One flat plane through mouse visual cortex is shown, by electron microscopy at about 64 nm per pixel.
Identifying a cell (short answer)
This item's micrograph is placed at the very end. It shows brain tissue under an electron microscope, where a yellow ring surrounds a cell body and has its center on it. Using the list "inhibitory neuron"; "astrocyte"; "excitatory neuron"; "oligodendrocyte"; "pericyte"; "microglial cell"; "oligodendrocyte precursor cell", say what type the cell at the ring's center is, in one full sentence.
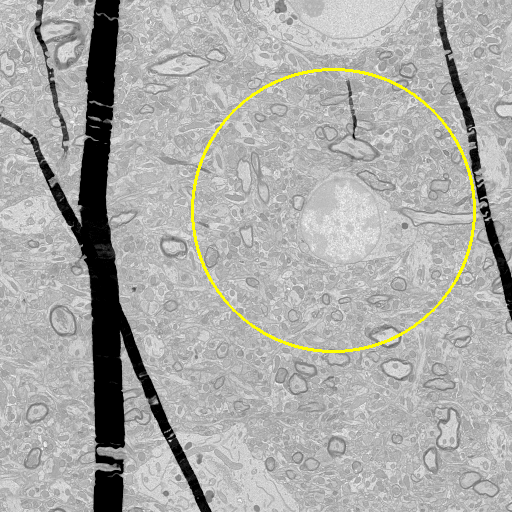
This picture shows an oligodendrocyte at the center of the yellow ring drawn on it.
